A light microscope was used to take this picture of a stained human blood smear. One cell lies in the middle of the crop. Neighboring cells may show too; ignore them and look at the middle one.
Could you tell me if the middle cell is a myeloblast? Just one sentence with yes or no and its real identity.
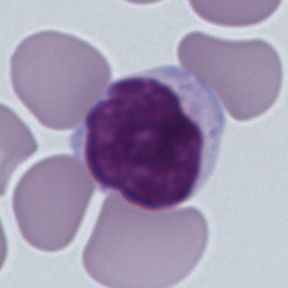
No, the cell located centrally is a typical lymphocyte rather than a myeloblast.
